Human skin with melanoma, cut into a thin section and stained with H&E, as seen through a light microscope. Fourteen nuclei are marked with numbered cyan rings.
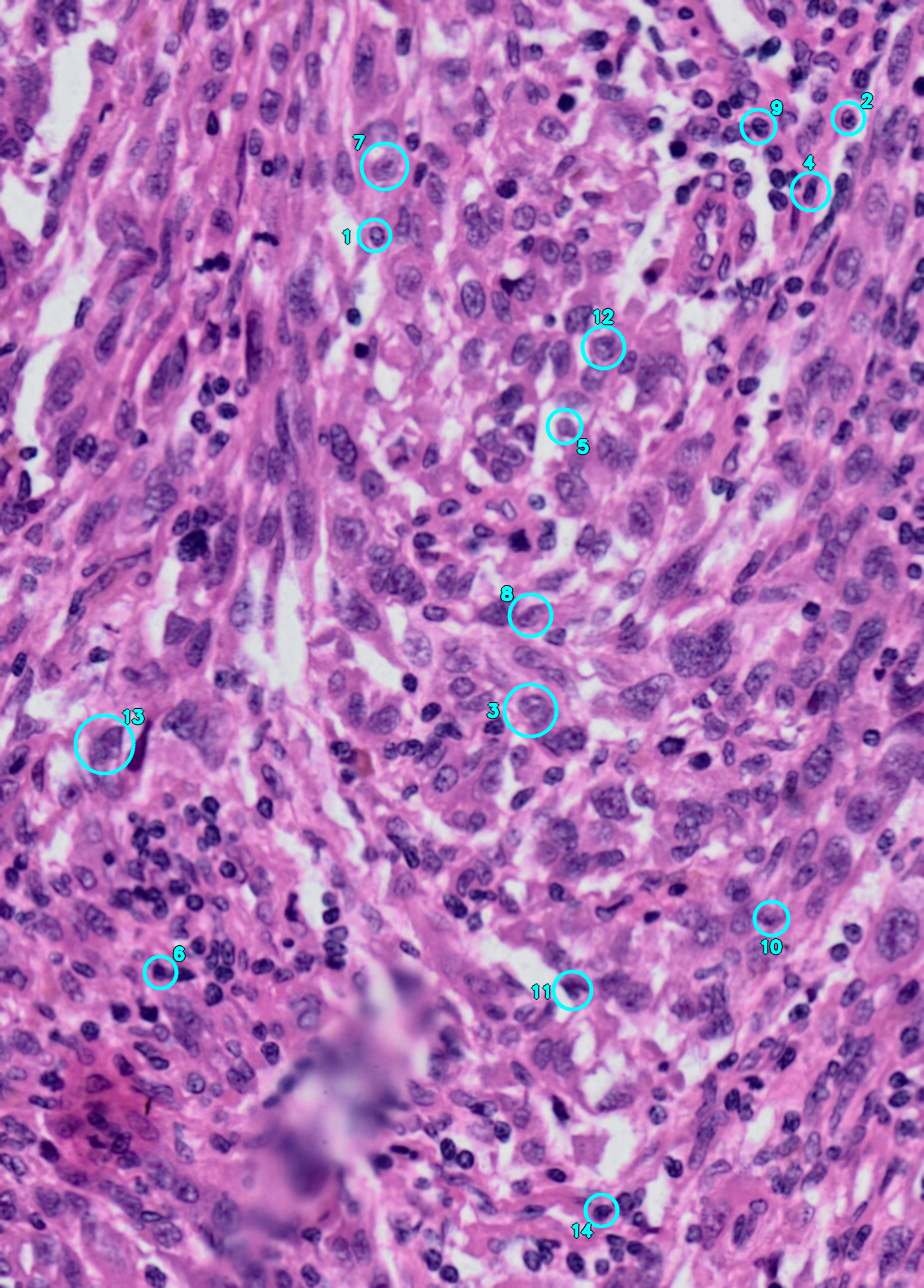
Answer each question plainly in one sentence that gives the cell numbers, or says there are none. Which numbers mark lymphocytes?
In terms of cell type, cells 1, 2, 4, 6, 9 and 14 are lymphocytes.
